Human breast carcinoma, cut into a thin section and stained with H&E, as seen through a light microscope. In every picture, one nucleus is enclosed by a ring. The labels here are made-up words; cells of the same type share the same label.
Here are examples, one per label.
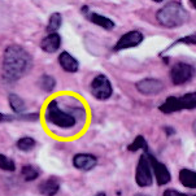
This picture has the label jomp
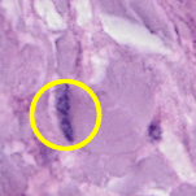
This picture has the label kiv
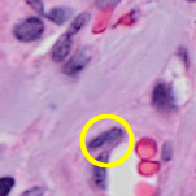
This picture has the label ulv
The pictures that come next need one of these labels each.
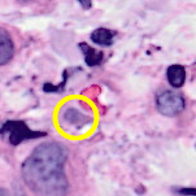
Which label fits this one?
ulv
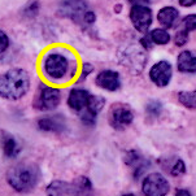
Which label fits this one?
jomp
